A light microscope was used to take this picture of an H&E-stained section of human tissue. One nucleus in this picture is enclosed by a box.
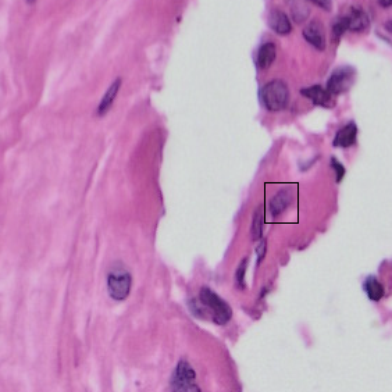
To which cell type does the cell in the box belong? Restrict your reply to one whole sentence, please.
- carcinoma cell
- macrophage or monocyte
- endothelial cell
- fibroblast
By cell type, the cell in the box is an endothelial cell.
